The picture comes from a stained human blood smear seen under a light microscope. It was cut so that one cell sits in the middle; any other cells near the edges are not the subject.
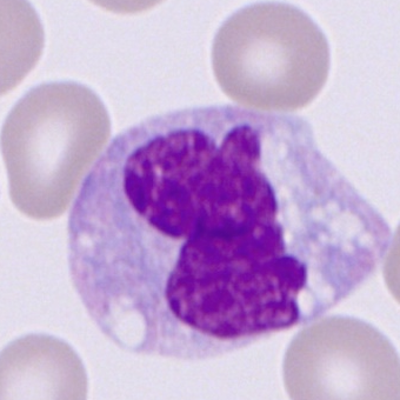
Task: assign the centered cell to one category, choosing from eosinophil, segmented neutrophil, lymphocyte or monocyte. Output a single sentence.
In the central position of this crop, the cell is a monocyte.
